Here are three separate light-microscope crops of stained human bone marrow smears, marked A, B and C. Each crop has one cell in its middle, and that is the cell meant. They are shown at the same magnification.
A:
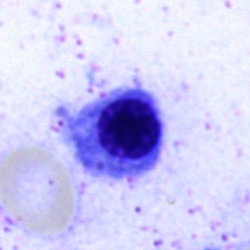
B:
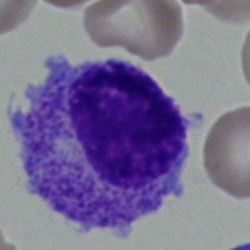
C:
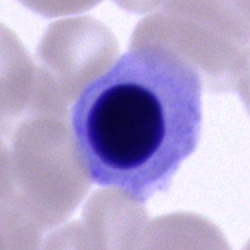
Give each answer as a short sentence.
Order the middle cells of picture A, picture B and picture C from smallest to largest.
Going up, they run A, C, B.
